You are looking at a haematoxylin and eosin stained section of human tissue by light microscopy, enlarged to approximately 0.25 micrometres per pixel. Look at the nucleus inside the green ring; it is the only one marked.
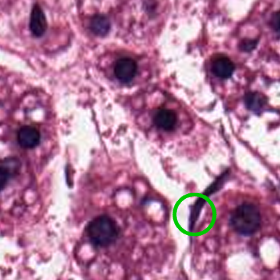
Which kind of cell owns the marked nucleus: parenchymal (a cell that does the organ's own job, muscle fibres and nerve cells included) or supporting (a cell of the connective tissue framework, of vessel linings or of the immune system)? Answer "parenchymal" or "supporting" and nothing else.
supporting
